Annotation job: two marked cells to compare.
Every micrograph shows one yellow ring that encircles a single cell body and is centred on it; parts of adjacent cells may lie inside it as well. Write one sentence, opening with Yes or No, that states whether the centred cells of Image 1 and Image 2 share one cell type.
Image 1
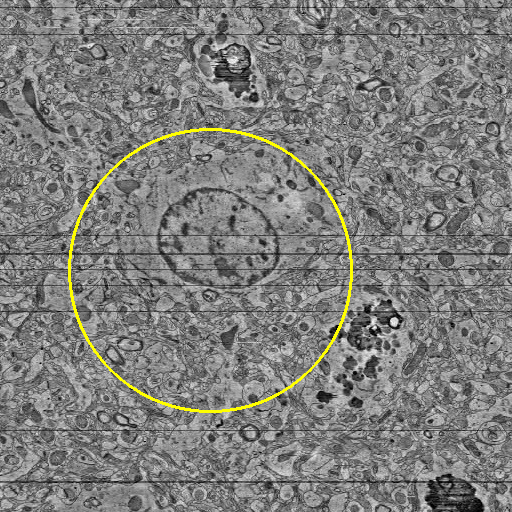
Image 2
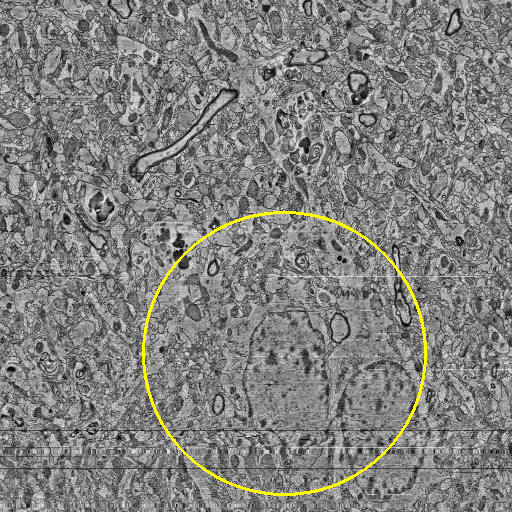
Yes, the cell centred in Image 1 shares its type with the cell centred in Image 2.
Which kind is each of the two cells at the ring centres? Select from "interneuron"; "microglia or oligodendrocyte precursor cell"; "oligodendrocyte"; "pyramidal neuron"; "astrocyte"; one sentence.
In each picture the ringed cell is an astrocyte.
